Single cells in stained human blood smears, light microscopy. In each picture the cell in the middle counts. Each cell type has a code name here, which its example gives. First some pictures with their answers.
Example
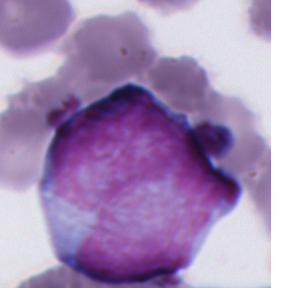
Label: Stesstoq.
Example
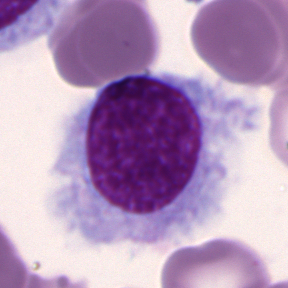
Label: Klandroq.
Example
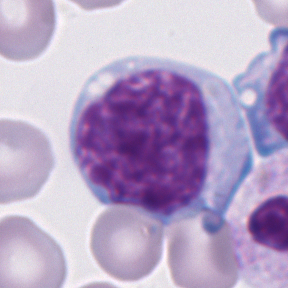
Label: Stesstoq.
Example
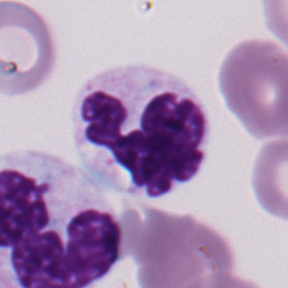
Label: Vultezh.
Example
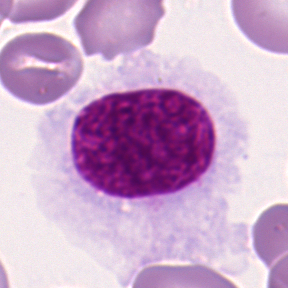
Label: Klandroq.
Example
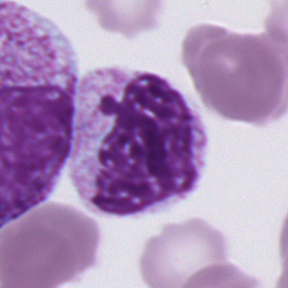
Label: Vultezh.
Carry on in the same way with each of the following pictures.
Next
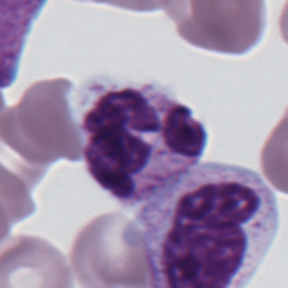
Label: Vultezh.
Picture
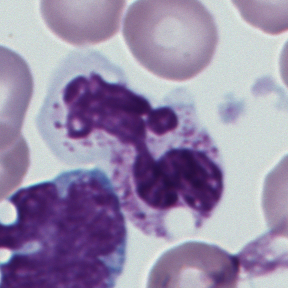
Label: Vultezh.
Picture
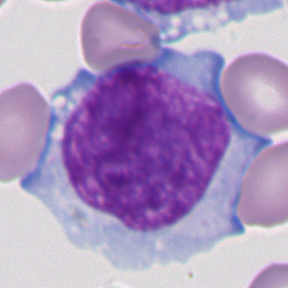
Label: Stesstoq.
